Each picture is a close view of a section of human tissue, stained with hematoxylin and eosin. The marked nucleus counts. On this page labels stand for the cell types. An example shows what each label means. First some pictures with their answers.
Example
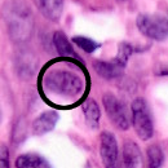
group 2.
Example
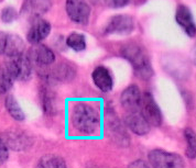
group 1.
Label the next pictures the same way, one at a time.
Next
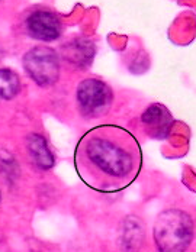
group 1.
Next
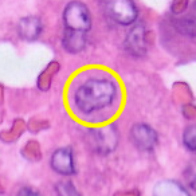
group 1.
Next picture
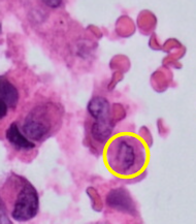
group 1.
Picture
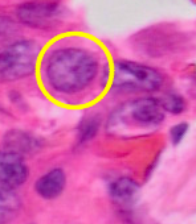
group 2.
